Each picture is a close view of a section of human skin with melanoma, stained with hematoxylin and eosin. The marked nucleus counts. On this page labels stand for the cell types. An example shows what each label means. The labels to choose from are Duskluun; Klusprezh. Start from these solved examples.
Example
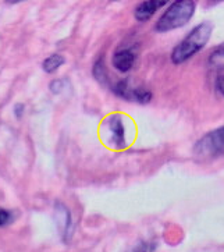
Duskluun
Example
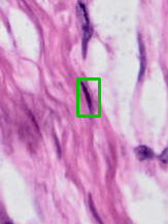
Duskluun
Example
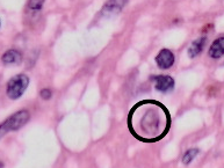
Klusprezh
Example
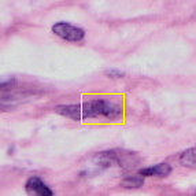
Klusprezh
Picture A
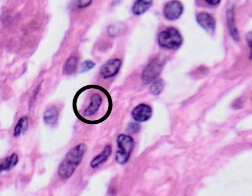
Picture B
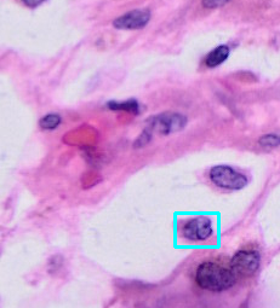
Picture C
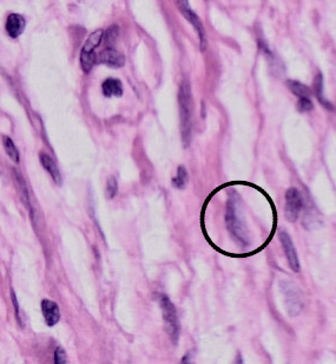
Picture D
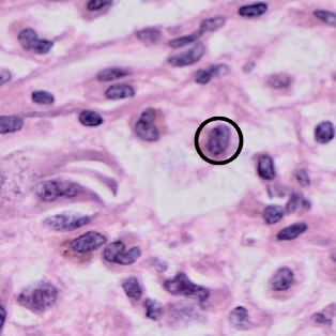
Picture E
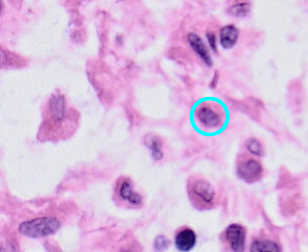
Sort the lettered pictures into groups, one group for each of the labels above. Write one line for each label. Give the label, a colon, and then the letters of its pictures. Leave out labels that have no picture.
Duskluun: C
Klusprezh: A, B, D, E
